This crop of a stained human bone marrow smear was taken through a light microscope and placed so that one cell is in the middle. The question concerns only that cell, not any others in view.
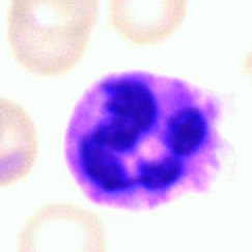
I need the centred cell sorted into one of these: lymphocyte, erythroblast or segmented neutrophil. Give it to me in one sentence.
Where the crop is centred, there is a segmented neutrophil.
